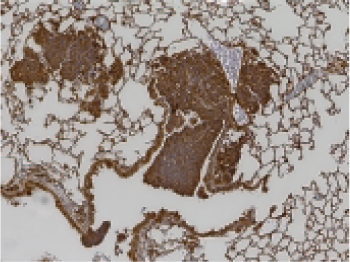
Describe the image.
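Lung tissue with open alveolar spaces and an airway, beside which lie irregular solid masses of densely packed cells that are stained deep brown throughout. The lining of the airway and parts of the alveolar walls are also brown, while the surrounding lung keeps its thin lacy architecture. These compact cell masses are tumors growing within the lung.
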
